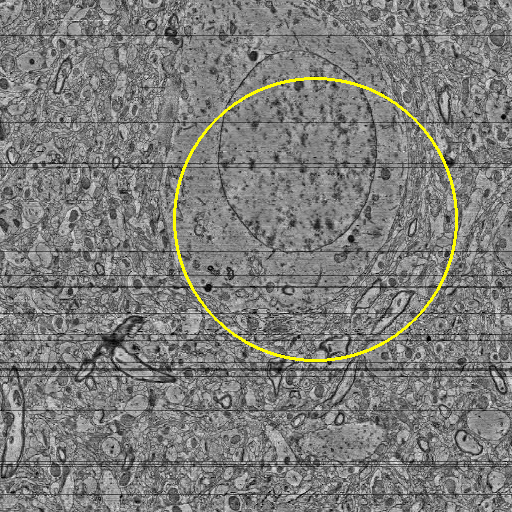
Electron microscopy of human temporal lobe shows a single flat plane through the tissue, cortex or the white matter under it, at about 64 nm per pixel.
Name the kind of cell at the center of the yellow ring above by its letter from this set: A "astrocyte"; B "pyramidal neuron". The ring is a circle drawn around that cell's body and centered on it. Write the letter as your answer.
B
